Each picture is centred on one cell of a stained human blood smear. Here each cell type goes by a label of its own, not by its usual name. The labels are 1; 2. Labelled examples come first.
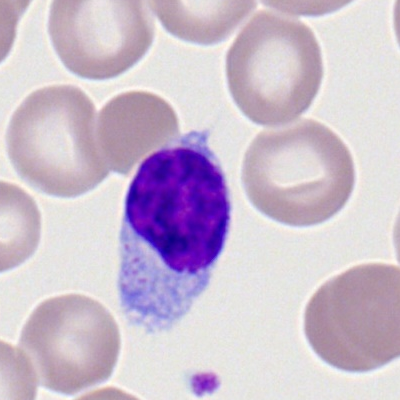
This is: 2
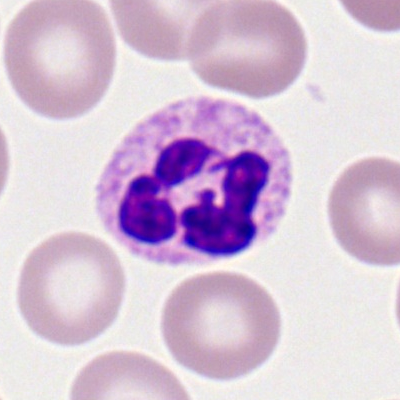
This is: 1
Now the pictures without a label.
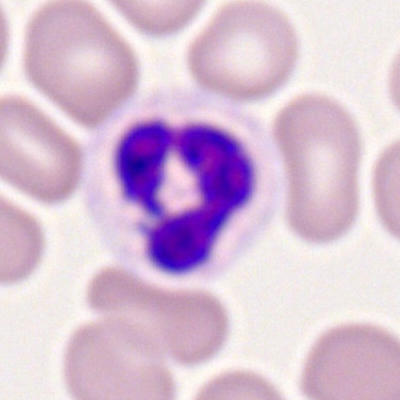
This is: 1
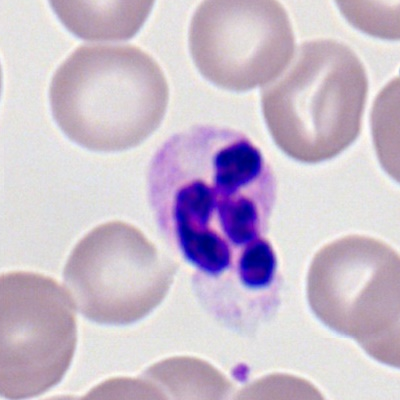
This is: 1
